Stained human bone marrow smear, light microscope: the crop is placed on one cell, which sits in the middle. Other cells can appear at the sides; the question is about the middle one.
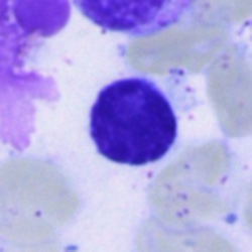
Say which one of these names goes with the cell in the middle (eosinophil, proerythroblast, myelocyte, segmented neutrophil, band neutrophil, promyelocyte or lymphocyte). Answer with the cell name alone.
lymphocyte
